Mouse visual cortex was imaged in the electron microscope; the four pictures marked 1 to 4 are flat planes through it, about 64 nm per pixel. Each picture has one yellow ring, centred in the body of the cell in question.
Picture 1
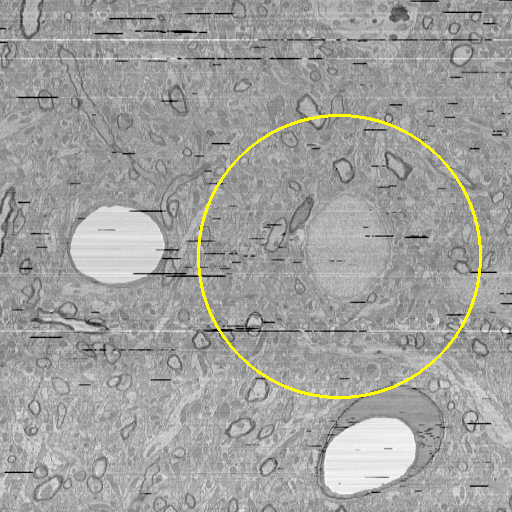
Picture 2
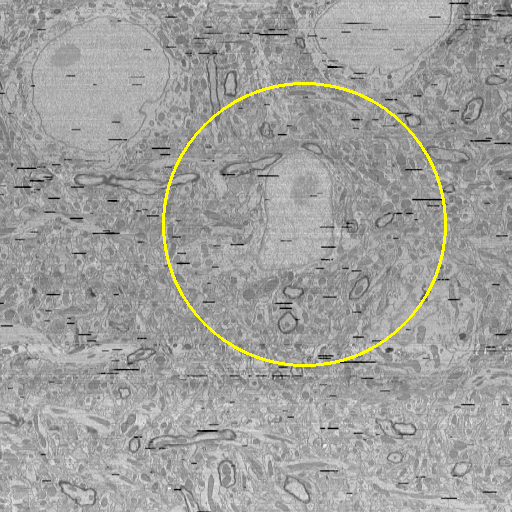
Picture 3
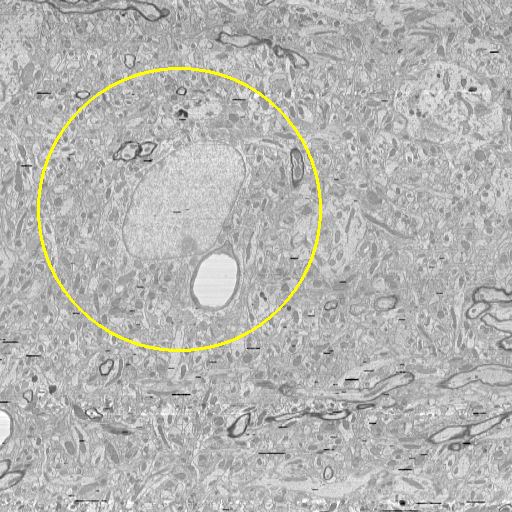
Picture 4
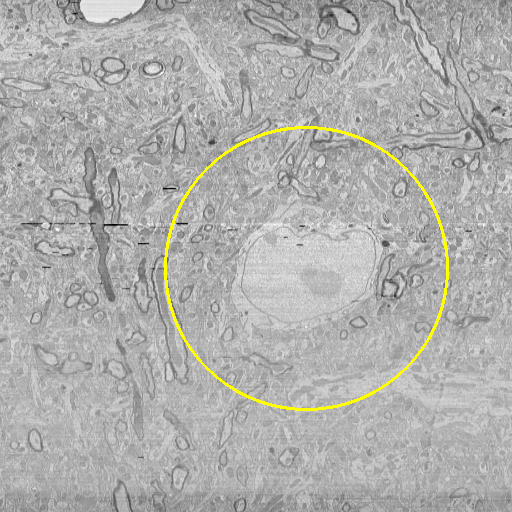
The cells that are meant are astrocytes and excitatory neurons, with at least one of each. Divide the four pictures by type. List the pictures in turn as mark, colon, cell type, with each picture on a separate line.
1: astrocyte
2: astrocyte
3: astrocyte
4: excitatory neuron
